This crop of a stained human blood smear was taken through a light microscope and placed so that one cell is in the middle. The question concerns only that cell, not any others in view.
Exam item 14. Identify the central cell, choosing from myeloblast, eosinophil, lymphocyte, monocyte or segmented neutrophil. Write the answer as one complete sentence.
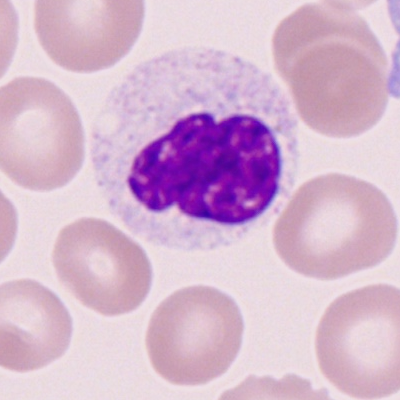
Classified as a segmented neutrophil is the cell in the middle of this crop.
